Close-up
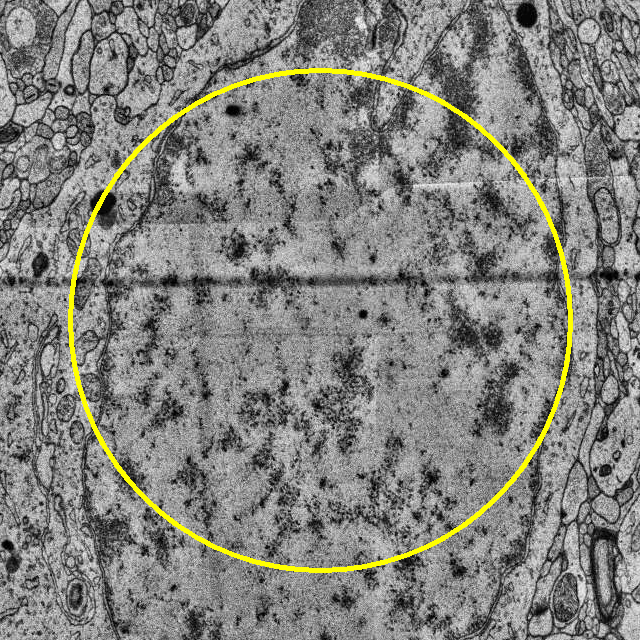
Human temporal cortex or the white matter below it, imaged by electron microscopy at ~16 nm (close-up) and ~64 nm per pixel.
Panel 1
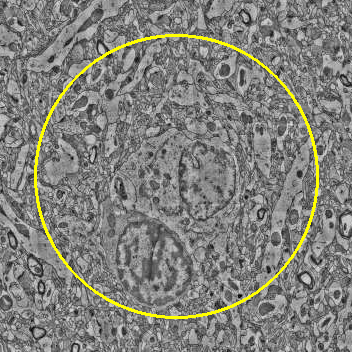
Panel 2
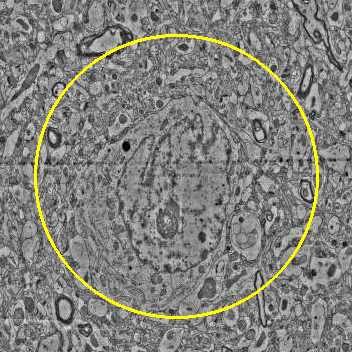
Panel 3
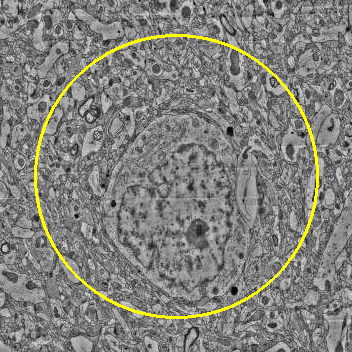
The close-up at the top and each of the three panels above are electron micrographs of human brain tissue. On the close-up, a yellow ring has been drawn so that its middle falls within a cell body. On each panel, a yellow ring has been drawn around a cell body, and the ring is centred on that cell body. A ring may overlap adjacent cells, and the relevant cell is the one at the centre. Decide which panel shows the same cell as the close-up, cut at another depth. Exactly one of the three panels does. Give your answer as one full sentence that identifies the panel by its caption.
The close-up was taken of the cell circled in Panel 2.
